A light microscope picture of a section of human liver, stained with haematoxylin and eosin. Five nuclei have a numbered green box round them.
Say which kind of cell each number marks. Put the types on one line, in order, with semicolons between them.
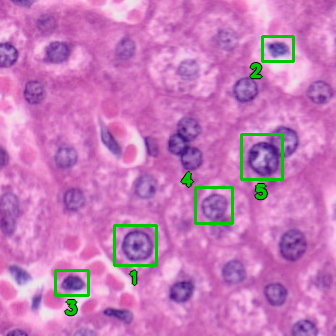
hepatocyte; lymphocyte; lymphocyte; hepatocyte; hepatocyte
